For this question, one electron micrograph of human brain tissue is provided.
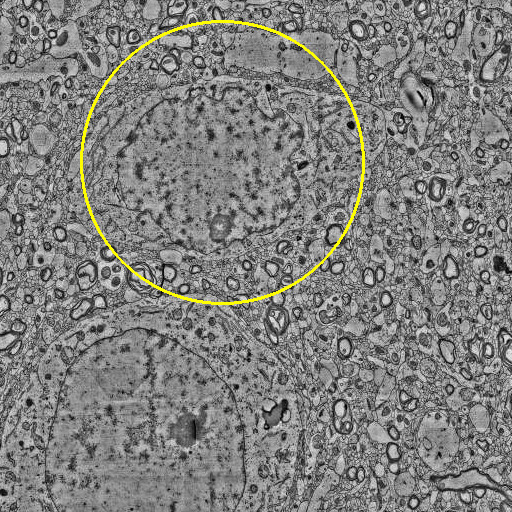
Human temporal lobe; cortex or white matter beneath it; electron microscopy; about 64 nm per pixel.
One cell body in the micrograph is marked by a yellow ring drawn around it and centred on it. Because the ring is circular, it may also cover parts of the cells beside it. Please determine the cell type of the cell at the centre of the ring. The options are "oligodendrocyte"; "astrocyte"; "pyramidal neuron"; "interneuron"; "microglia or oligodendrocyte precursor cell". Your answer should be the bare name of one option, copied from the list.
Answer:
interneuron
